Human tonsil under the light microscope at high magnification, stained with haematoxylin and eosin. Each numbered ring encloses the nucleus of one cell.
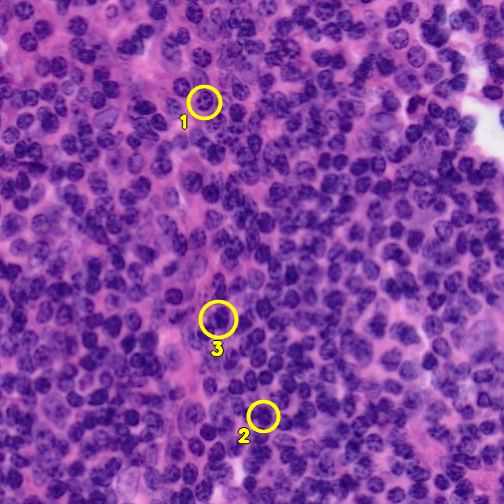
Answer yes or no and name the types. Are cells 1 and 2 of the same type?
No, cell 1 is classed as a plasma cell and cell 2 as a small lymphocyte.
